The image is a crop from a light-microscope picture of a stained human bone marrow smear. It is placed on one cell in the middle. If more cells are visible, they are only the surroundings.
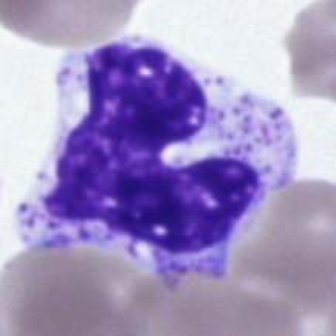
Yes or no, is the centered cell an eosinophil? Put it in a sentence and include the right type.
No, the central cell is classed as a band neutrophil and not as an eosinophil.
